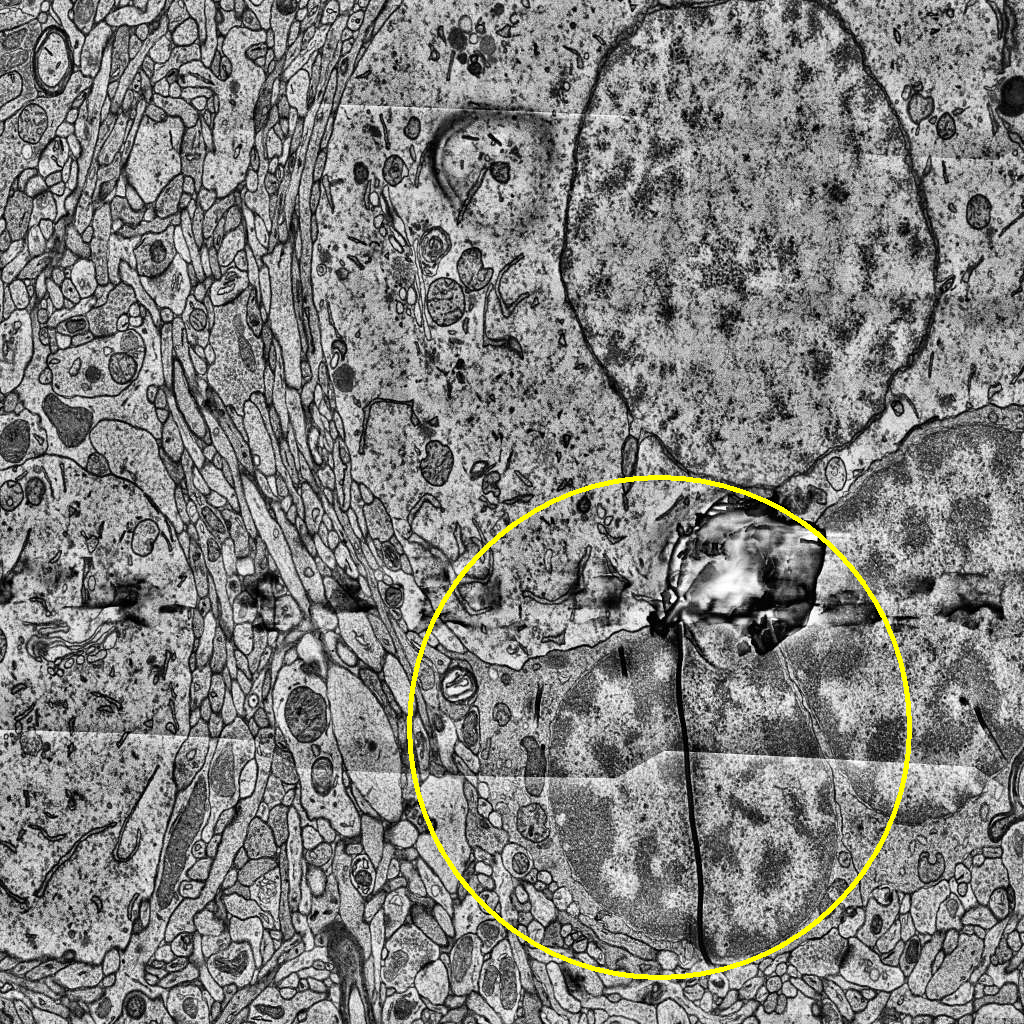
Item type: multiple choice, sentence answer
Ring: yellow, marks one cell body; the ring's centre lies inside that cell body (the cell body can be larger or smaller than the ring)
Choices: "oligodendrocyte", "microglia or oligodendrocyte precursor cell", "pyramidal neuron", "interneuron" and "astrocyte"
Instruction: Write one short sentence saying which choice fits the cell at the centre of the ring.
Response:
The centre of this ring lies on an oligodendrocyte.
